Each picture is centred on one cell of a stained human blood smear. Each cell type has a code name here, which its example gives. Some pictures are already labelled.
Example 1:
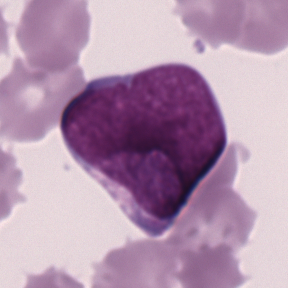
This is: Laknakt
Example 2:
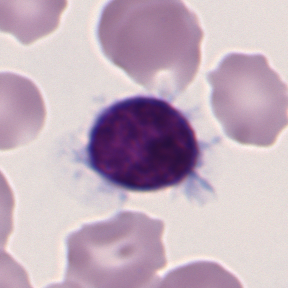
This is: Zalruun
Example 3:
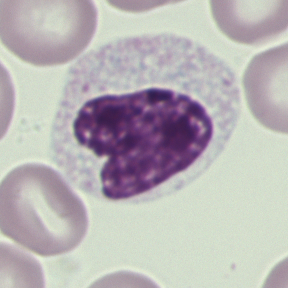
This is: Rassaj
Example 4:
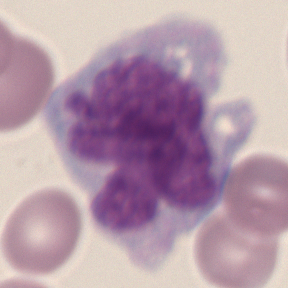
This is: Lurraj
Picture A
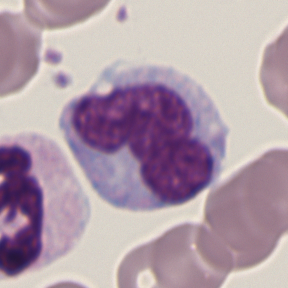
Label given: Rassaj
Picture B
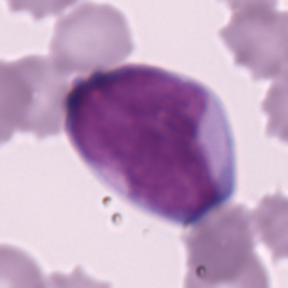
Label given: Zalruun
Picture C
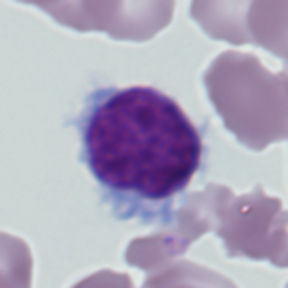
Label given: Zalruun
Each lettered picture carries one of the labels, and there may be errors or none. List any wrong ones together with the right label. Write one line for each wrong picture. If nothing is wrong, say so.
A should be Lurraj, not Rassaj
B should be Laknakt, not Zalruun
